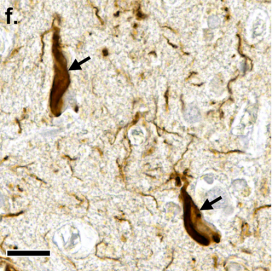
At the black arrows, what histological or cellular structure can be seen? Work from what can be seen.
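The arrows point to dense, dark brown, elongated flame-shaped deposits filling neuronal cell bodies. The deposits taper into a process like a neuronal soma shape. On this evidence: tangle.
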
